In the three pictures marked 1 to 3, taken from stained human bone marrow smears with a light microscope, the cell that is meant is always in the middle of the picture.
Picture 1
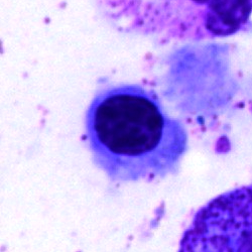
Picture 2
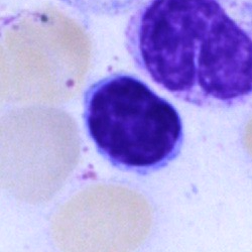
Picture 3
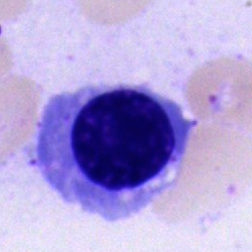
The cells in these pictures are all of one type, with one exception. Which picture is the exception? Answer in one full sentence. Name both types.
The different one is picture 2; it shows a lymphocyte, whereas all the others show erythroblasts.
